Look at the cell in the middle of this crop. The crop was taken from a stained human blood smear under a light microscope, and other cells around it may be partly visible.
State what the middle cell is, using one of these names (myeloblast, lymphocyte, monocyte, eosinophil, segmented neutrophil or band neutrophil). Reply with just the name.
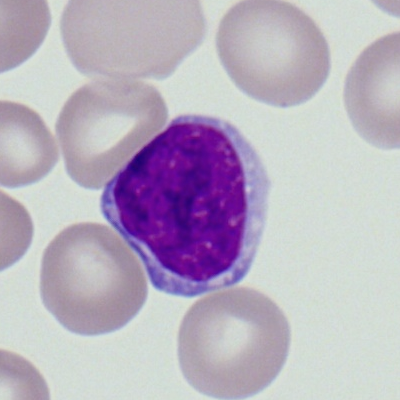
lymphocyte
